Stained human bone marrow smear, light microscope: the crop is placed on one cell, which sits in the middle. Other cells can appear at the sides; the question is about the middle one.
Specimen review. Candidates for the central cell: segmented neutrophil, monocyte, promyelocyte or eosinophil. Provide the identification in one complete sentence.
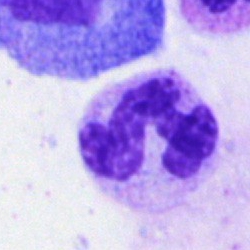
The centrally located cell in the crop is a segmented neutrophil.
